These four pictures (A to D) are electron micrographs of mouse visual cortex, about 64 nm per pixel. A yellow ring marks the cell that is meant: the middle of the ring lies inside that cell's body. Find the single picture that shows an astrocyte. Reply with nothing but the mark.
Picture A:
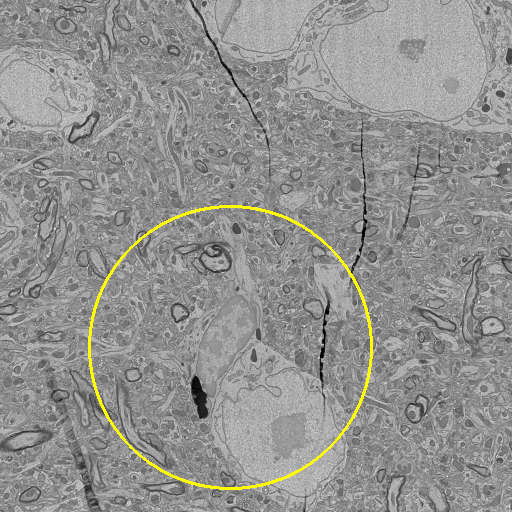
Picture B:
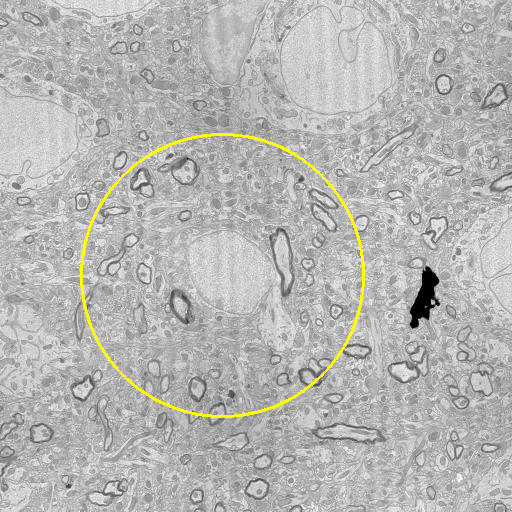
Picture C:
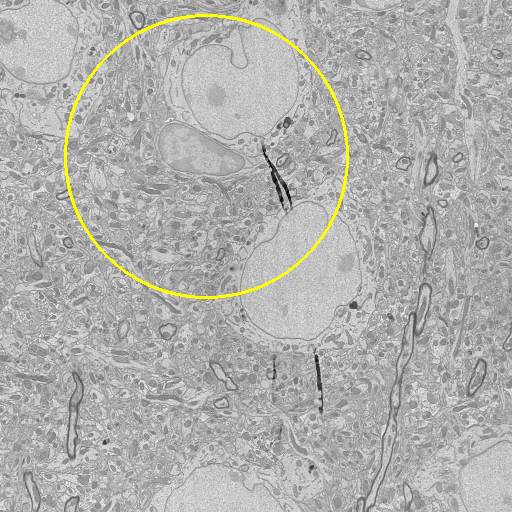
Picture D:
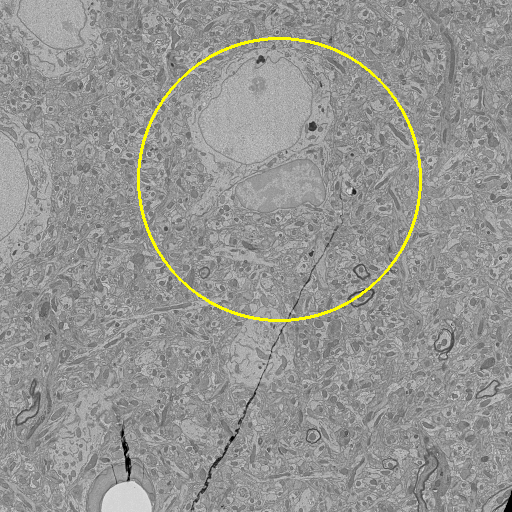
B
